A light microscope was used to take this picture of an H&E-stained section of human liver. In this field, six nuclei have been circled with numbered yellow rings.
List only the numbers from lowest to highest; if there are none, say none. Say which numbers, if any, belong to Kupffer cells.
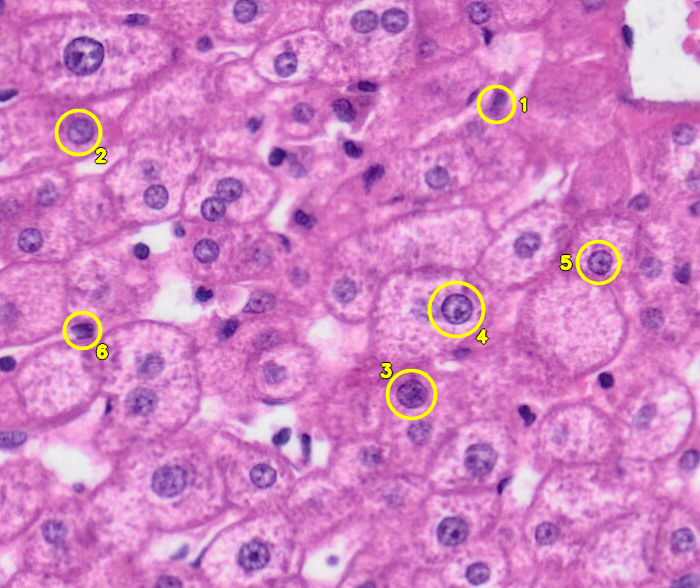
1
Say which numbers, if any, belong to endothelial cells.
6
